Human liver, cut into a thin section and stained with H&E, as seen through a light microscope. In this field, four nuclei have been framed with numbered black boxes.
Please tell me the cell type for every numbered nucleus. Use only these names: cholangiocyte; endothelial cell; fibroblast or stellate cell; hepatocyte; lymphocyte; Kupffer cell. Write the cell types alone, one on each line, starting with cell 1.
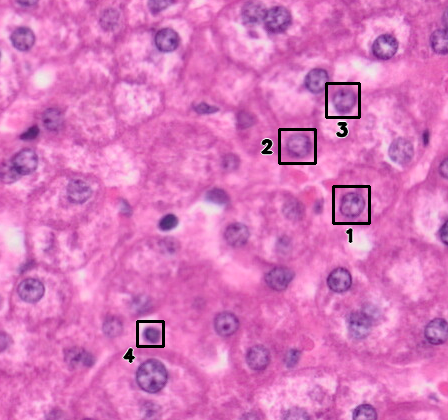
hepatocyte
hepatocyte
hepatocyte
lymphocyte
